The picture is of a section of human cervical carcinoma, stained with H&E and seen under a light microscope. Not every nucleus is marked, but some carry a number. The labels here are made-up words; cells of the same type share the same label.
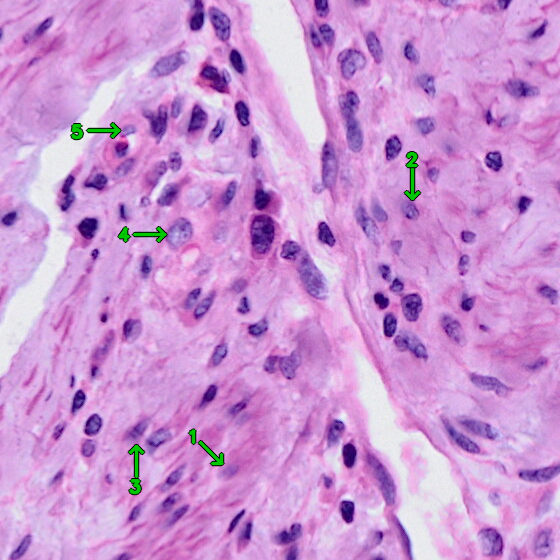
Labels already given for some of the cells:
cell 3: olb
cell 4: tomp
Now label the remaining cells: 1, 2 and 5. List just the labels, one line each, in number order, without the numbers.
olb
olb
tomp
